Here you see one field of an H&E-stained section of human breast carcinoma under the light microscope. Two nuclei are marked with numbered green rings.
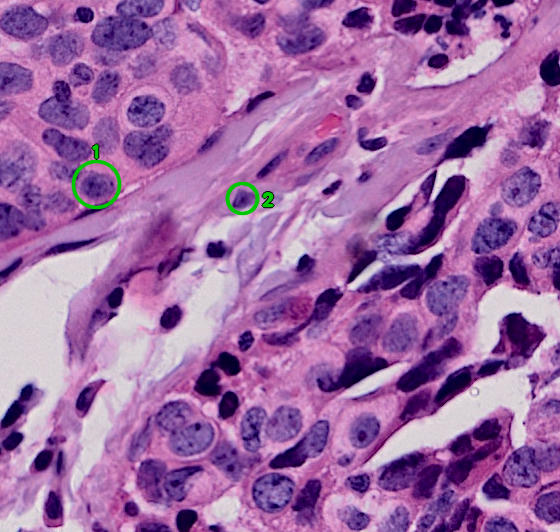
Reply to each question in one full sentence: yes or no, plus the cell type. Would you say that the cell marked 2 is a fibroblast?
Yes, in this tissue section, number 2 is a fibroblast.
